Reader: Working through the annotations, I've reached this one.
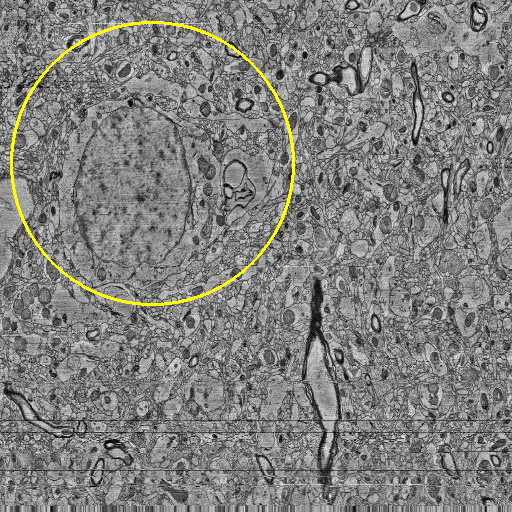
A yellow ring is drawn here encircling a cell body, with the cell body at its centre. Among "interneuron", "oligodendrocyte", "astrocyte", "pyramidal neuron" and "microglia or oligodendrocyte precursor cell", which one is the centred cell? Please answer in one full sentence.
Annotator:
The cell body at the centre of the yellow ring in this image belongs to an interneuron.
